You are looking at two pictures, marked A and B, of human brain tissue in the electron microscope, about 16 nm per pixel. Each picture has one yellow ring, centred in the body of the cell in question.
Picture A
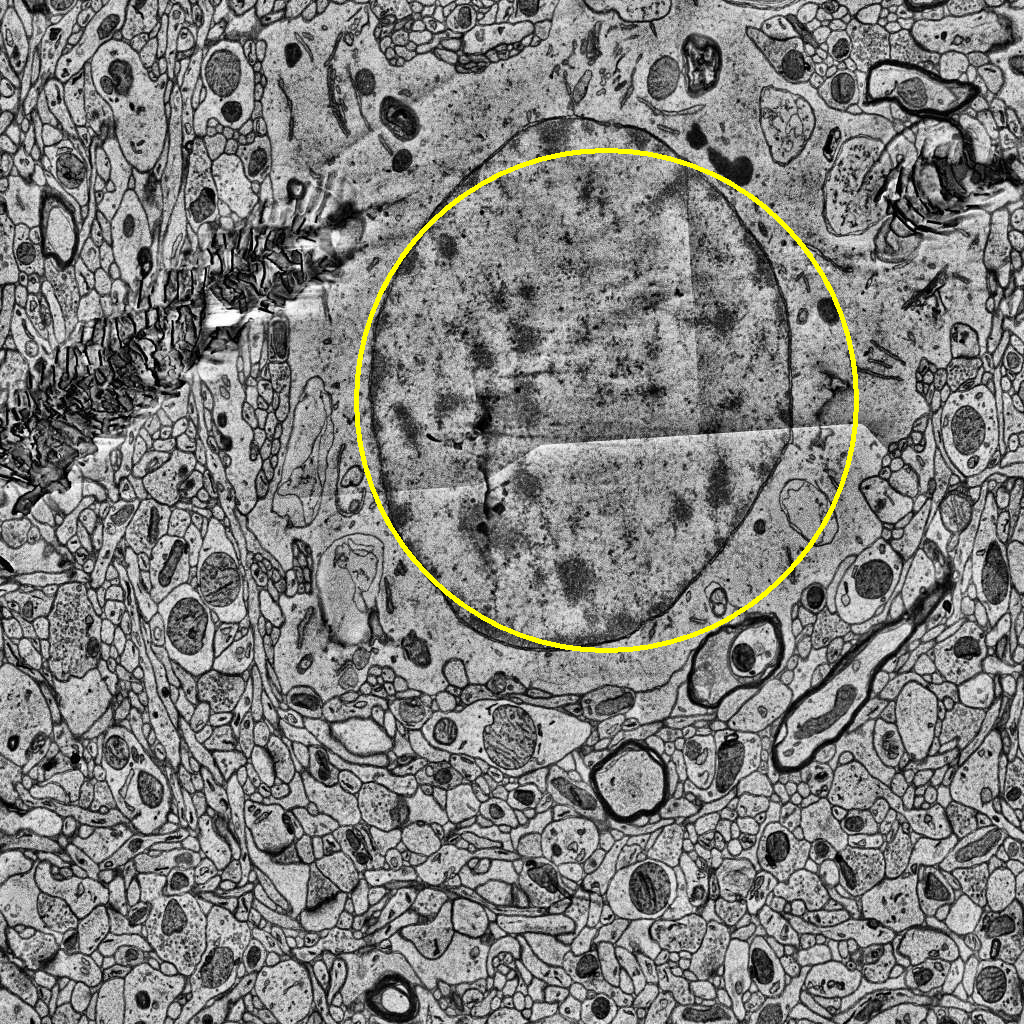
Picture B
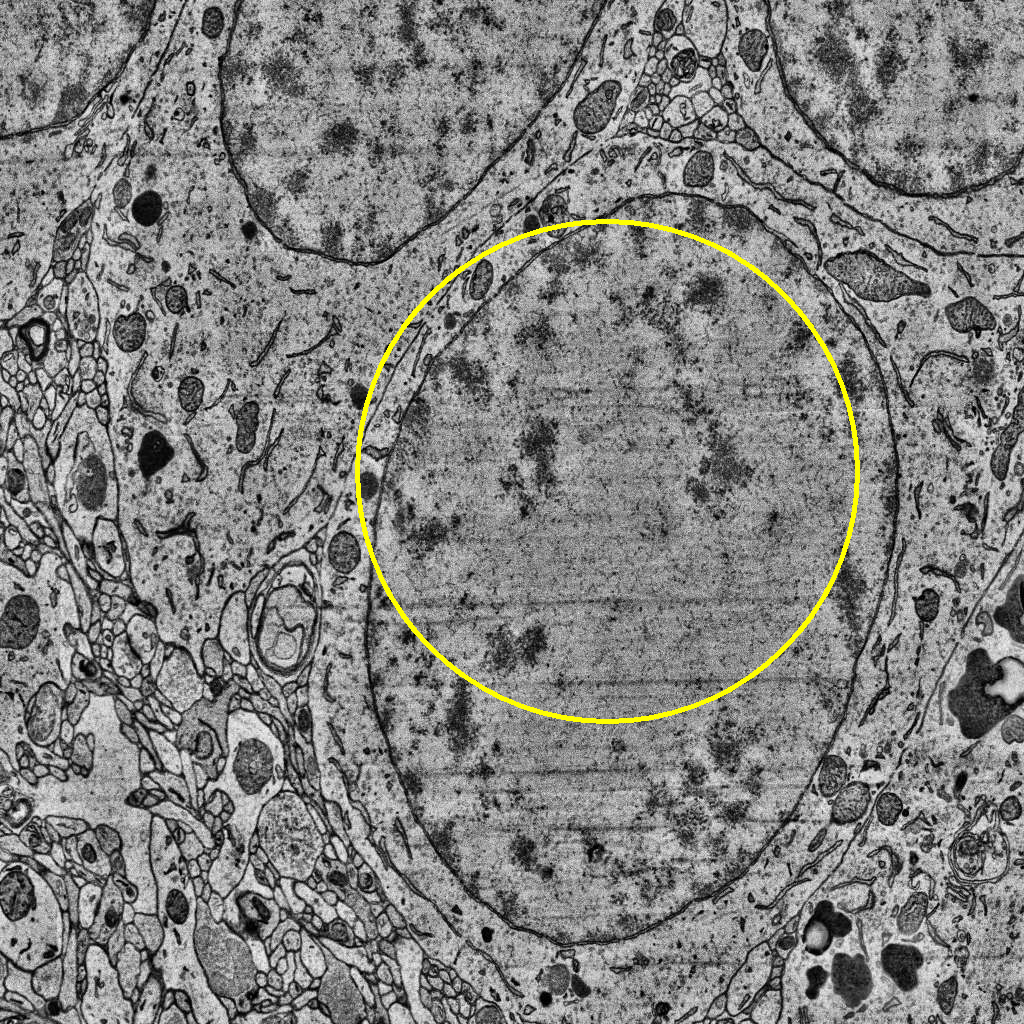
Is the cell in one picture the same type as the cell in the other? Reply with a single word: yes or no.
no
